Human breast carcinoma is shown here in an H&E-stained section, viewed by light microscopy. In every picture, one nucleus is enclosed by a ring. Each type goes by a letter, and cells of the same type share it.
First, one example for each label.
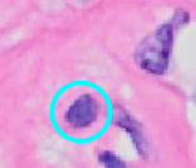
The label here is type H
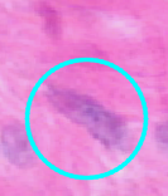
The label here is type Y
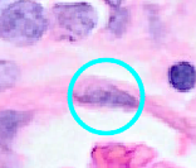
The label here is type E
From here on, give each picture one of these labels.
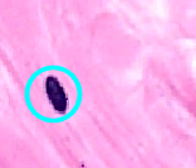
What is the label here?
type H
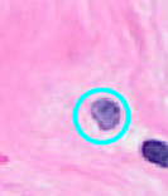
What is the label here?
type H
